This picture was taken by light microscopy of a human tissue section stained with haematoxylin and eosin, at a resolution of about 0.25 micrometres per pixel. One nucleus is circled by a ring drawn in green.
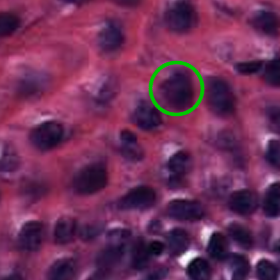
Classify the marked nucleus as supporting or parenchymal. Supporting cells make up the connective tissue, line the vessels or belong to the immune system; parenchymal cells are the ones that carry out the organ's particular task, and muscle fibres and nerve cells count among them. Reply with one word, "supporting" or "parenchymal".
parenchymal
